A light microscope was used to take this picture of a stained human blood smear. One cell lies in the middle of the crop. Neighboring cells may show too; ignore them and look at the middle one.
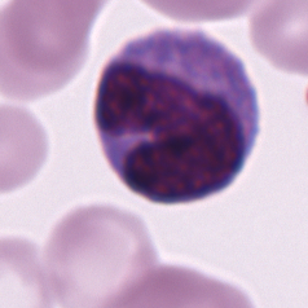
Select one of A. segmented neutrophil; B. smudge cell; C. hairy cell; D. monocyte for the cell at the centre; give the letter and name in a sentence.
The expected answer is option D, the central cell being a monocyte.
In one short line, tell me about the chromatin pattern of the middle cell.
Its chromatin is clumped in a coarse pattern.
